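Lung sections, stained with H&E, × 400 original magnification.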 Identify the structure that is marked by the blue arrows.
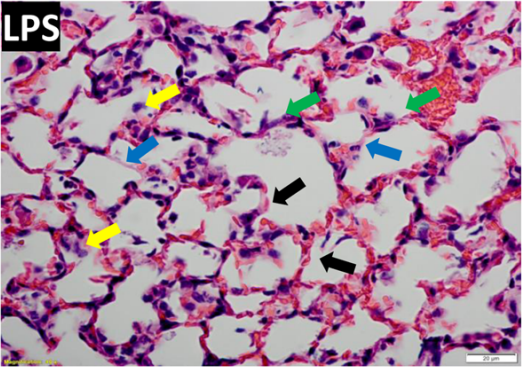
hyaline membranes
